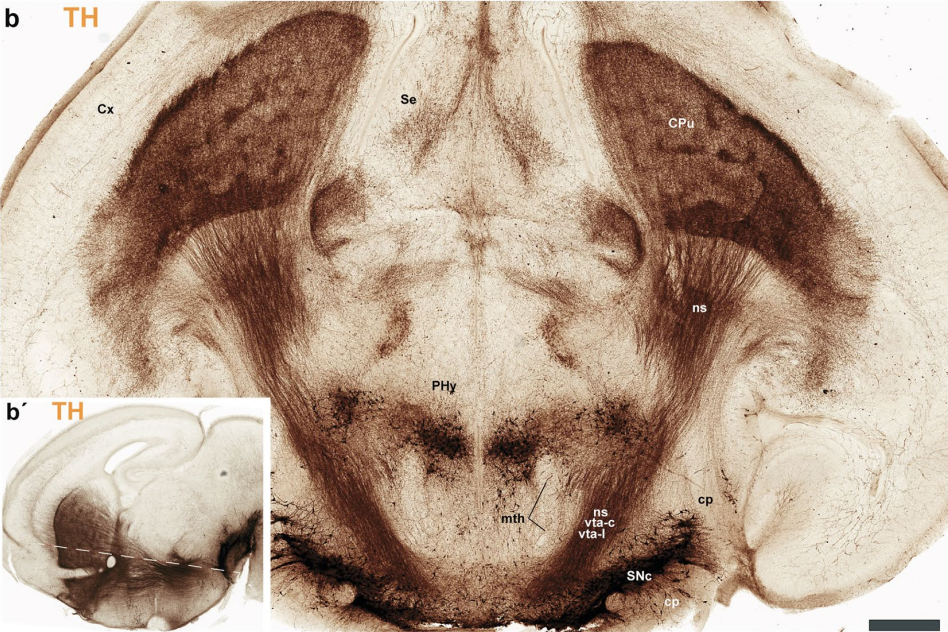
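This low-power transverse section through the forebrain shows a broad band of brown-stained axon bundles, the nigro-striatal tract, sweeping up on each side from the base of the brain into the densely stained, patchy caudate-putamen. At the ventral surface the substantia nigra forms a dark brown cluster of stained cell bodies and fibres, lying deep to the cerebral peduncle. The cortex above and lateral to the striatum stays pale, with only scattered fine fibres.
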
